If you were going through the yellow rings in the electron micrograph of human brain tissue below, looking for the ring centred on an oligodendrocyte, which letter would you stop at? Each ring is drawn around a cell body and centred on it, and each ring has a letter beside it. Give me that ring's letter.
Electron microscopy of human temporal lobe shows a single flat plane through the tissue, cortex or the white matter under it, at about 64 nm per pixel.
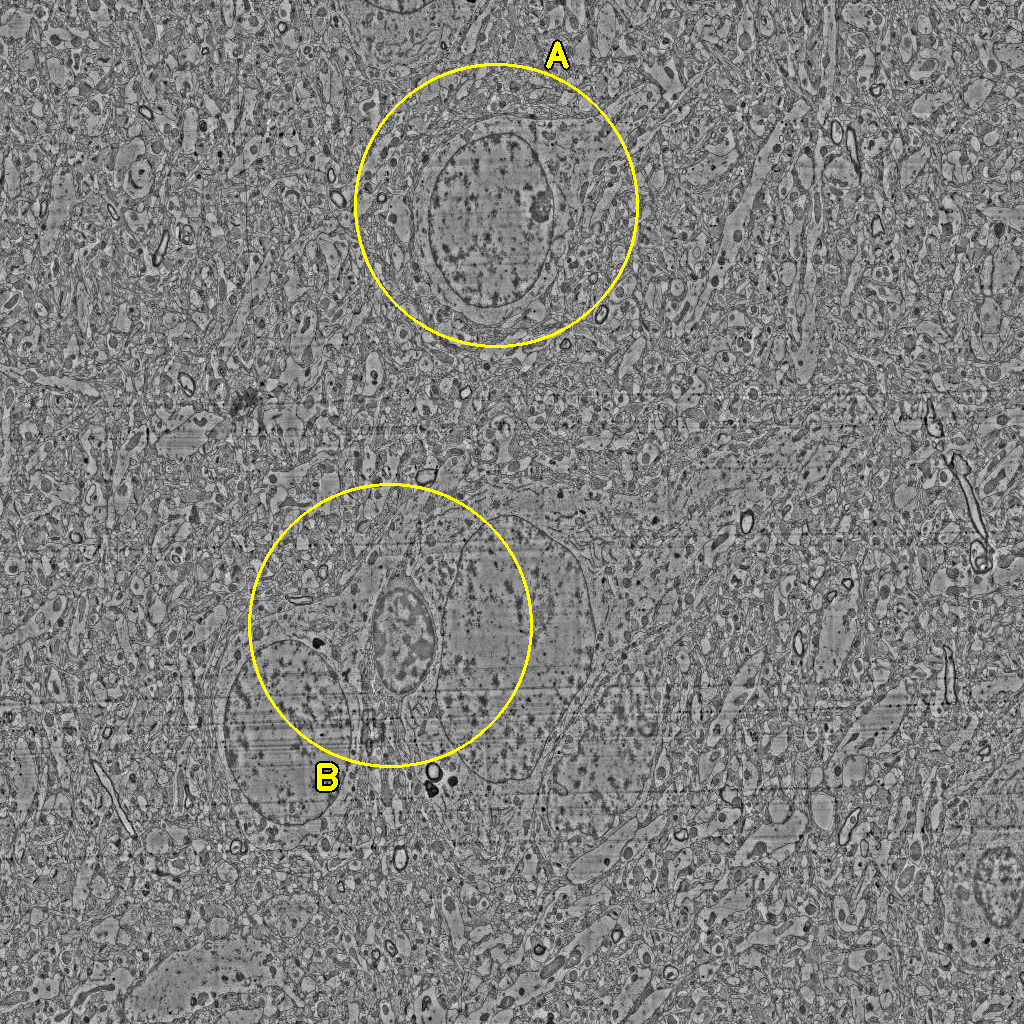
B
